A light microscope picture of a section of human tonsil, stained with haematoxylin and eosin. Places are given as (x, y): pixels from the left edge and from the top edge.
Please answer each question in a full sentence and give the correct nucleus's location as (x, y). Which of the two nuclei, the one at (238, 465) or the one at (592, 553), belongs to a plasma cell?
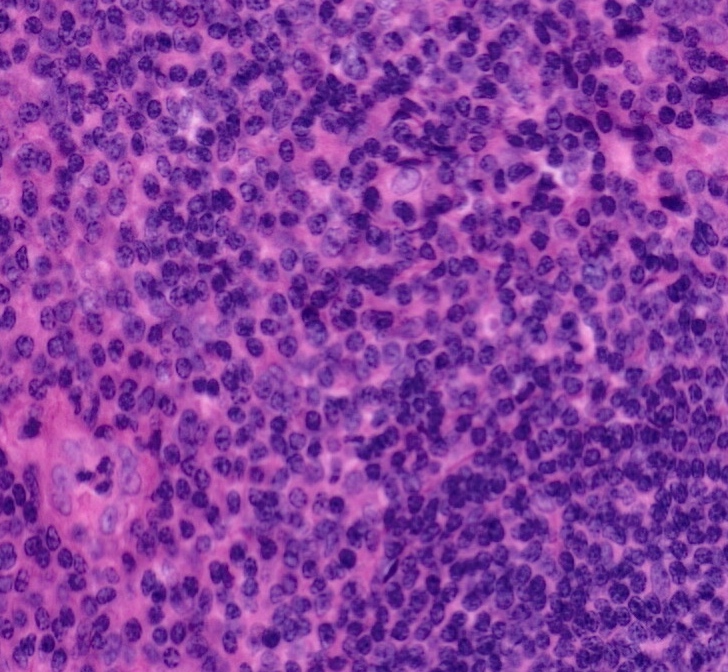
The nucleus at (238, 465), rather than the other, belongs to a plasma cell.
